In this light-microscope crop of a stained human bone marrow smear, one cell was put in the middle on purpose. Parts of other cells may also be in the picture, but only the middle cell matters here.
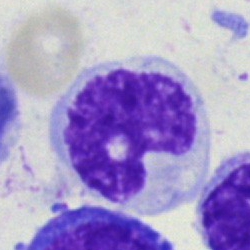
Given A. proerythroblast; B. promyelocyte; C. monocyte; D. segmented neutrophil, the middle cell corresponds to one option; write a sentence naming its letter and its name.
Option C is correct here, and the cell in the middle is a monocyte.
